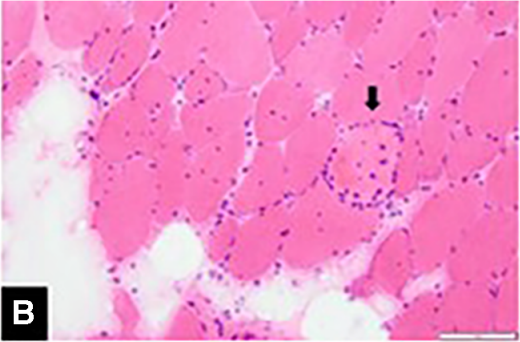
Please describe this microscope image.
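Skeletal muscle is cut across, with pink polygonal fibers of varying size carrying small dark nuclei at their edges, and pale spaces between fascicles. One fiber is paler than the rest and is filled and ringed by many small round dark nuclei, which is a necrotic fiber invaded by mononuclear inflammatory cells.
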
